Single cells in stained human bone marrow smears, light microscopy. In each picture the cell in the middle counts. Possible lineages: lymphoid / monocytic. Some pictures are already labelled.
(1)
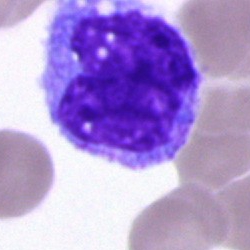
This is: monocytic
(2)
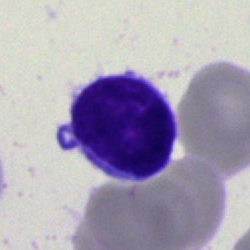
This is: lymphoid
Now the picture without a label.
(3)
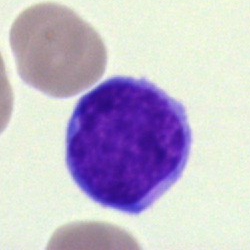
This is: lymphoid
